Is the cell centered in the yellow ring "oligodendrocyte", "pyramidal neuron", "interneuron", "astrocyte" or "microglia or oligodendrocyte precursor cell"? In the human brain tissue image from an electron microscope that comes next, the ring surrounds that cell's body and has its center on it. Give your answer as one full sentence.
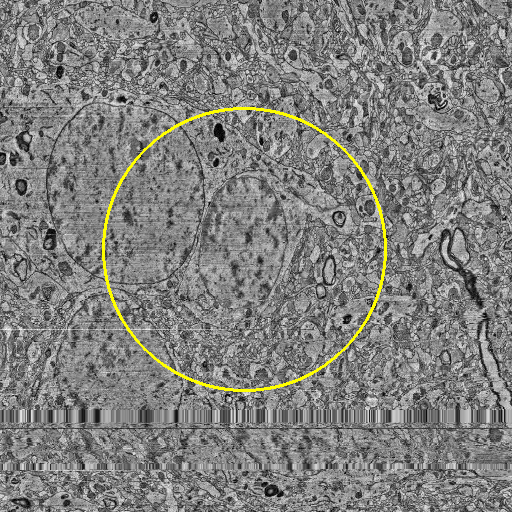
The cell at the center of the yellow ring is an interneuron in the micrograph.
